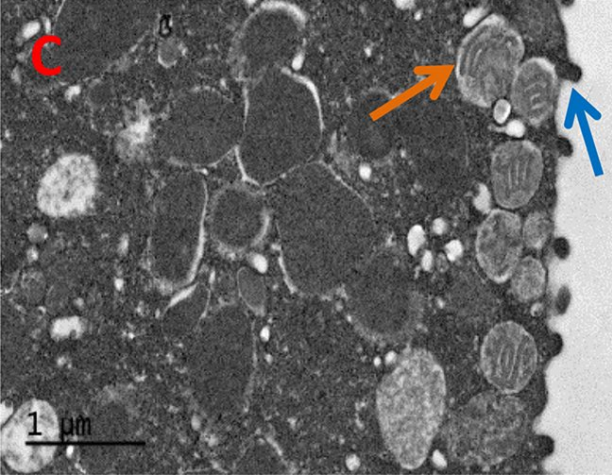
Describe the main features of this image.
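This high-magnification electron micrograph shows the cortex of an egg, with the cell surface running along the right edge. Small dark projections, microvilli, stud the surface and point outward into the pale space beyond. Just beneath the surface lies a row of oval cortical granules, each with a lamellar, swirled internal pattern. Deeper in the cytoplasm are larger rounded, darker bodies outlined by pale rims, together with scattered small bright vesicles and a few paler granular oval bodies.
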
